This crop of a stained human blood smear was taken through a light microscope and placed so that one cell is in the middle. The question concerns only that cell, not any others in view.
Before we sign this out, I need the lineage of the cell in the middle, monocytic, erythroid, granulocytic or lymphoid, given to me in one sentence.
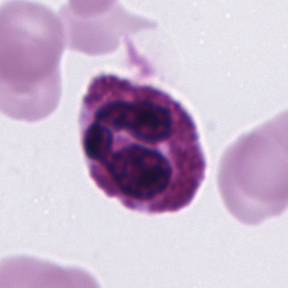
From the granulocytic lineage comes the cell in the middle of the crop.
